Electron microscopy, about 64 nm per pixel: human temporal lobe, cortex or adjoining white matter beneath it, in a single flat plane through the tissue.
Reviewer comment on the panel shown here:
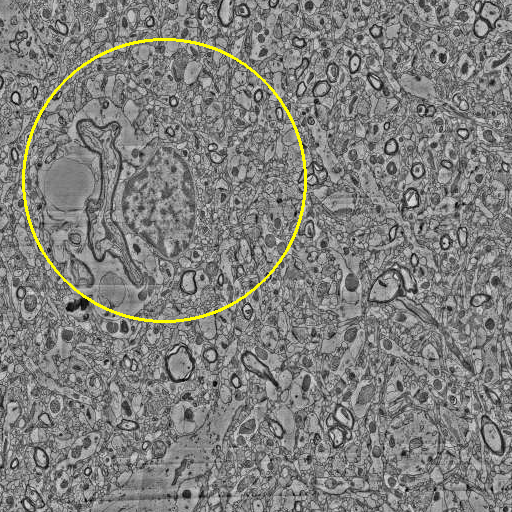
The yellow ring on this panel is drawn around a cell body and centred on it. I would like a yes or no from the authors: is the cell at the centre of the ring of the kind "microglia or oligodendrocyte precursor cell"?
no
